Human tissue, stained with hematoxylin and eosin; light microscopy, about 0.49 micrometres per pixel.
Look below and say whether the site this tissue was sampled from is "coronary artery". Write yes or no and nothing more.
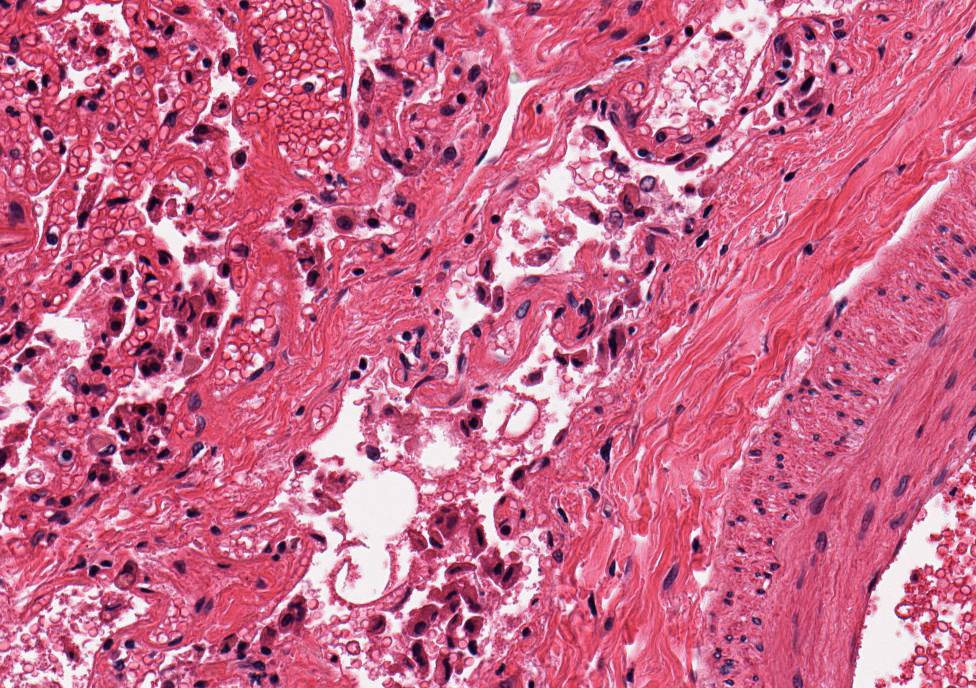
no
